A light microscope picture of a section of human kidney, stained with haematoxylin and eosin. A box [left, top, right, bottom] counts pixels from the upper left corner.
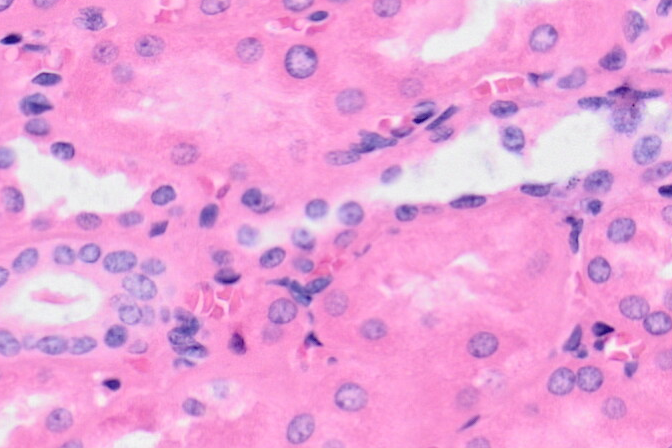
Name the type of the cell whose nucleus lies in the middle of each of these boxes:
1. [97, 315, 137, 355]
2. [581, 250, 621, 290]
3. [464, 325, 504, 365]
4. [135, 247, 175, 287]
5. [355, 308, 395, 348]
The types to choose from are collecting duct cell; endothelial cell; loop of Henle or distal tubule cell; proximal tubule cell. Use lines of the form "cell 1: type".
cell 1: collecting duct cell
cell 2: proximal tubule cell
cell 3: proximal tubule cell
cell 4: collecting duct cell
cell 5: proximal tubule cell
